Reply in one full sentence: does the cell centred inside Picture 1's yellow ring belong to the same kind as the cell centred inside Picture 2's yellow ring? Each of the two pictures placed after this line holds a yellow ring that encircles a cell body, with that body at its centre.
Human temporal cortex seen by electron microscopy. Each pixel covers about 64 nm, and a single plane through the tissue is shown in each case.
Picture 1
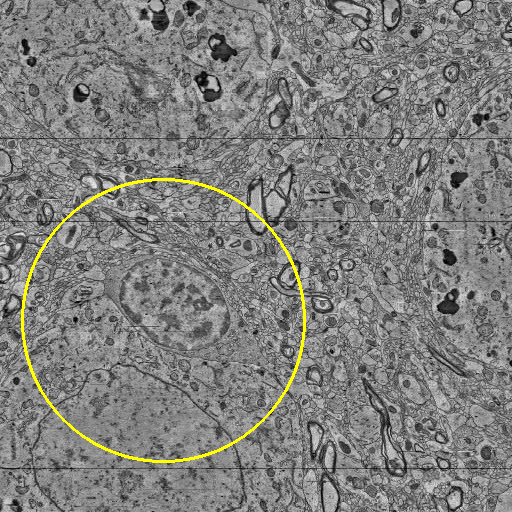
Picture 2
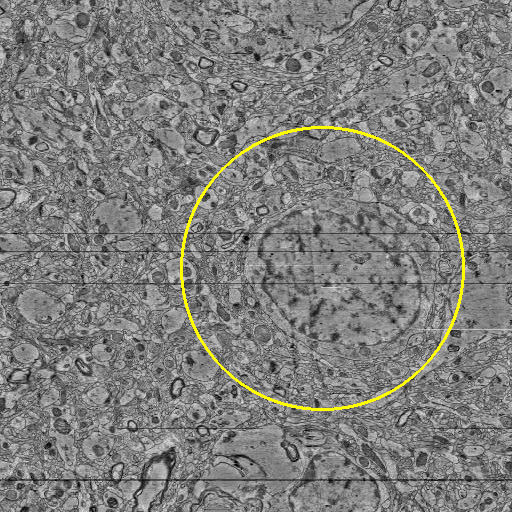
No, the ring-centred cells in Picture 1 and Picture 2 are of two separate kinds.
